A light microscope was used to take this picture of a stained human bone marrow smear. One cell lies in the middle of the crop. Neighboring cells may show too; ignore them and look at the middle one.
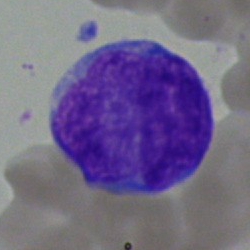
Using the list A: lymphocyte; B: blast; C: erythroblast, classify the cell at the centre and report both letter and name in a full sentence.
The expected answer is option B, the central cell being a blast.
